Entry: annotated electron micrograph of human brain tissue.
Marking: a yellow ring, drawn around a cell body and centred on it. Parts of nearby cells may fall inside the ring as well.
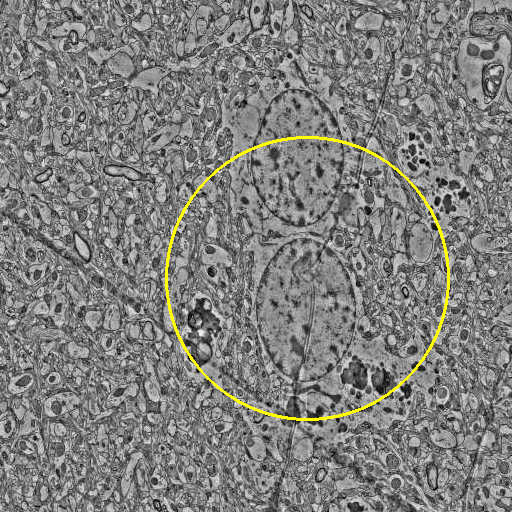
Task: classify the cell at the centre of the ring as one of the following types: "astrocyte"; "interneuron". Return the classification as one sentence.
The marked cell is classified as an astrocyte.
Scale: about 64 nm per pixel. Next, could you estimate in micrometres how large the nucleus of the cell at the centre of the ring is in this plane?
In this plane, the nucleus is roughly 9 by 6 micrometres.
